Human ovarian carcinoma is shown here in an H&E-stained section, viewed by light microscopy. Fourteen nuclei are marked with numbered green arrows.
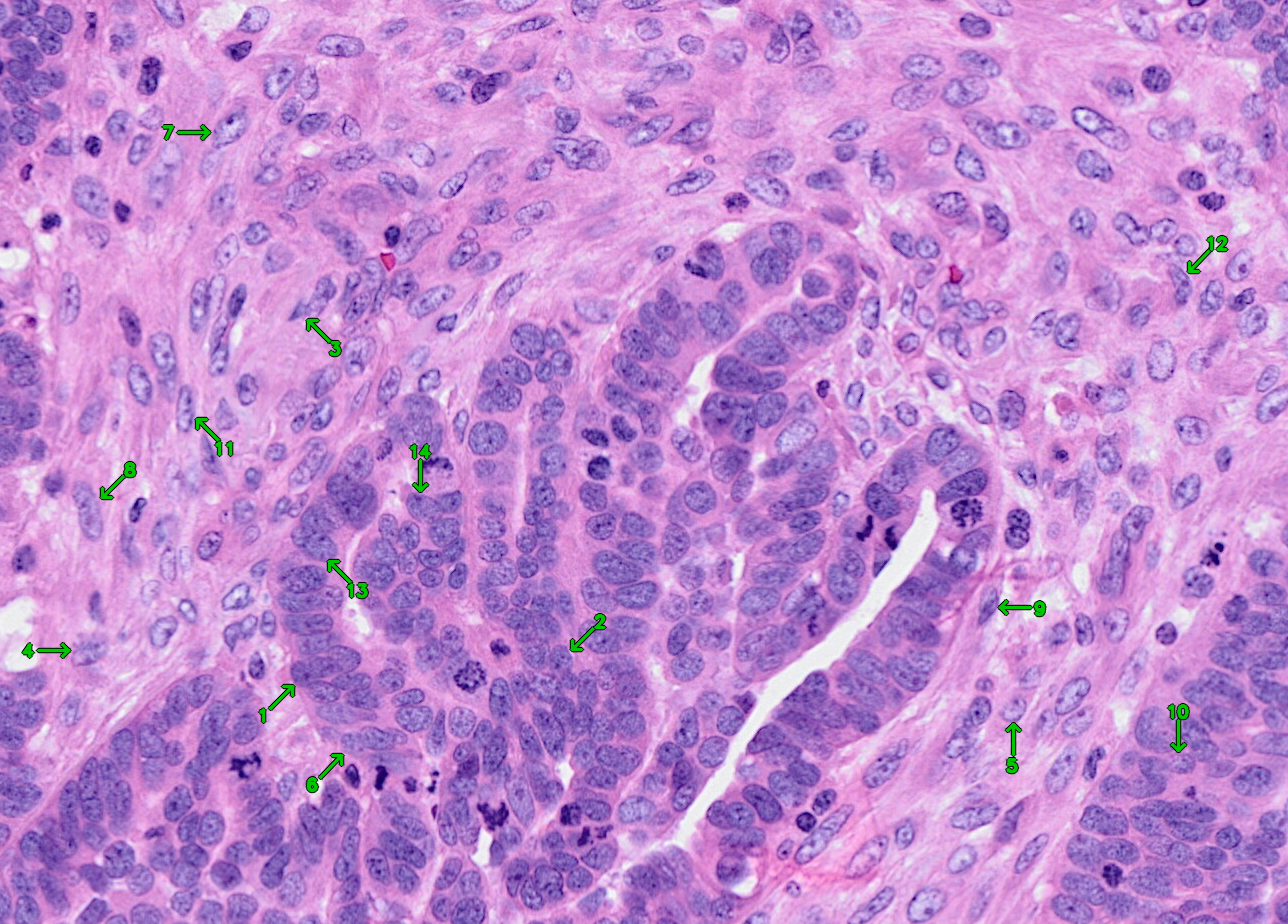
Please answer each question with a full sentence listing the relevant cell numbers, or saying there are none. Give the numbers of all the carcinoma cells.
The cells to which the numbers 1, 2, 6, 10, 13 and 14 refer are carcinoma cells.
